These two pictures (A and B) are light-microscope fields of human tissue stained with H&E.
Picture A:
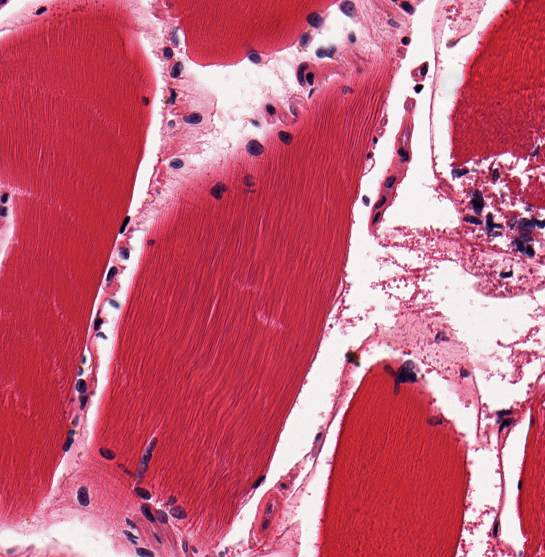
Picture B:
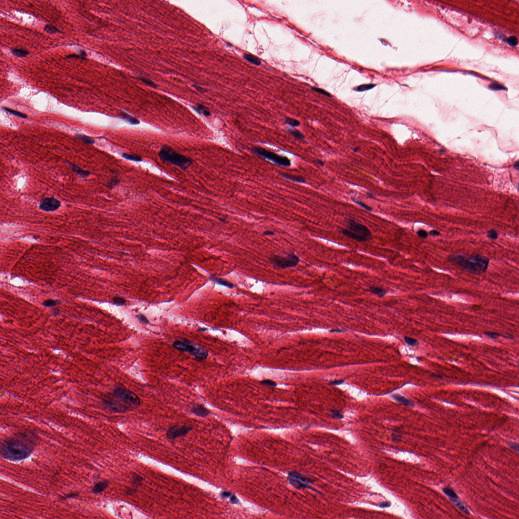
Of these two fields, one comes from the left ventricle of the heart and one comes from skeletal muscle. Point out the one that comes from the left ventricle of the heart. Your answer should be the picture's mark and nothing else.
B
